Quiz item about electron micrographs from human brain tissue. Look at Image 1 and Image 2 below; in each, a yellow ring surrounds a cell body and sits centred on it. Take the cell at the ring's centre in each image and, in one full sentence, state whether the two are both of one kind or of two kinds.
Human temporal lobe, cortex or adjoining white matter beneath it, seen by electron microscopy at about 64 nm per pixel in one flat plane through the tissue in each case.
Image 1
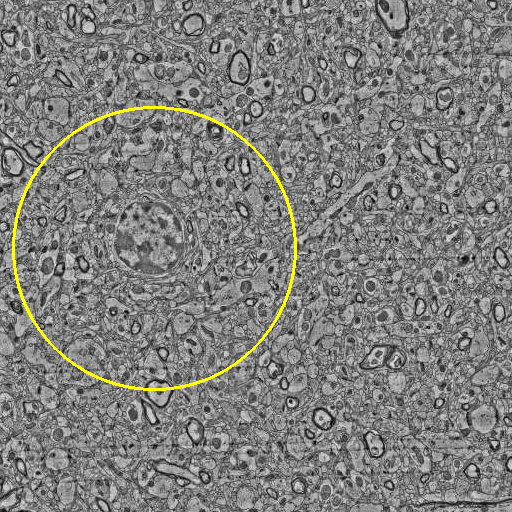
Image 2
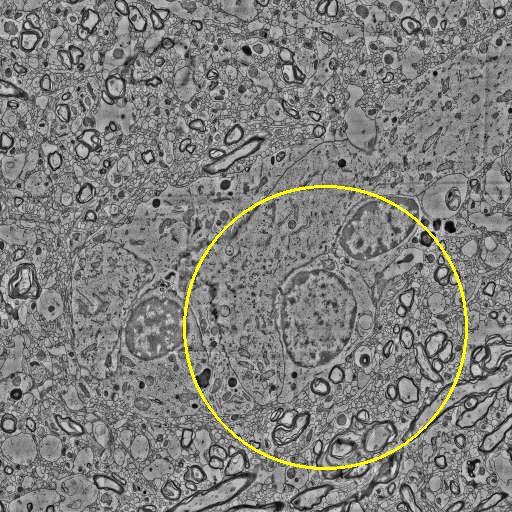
In Image 1 and Image 2, the cells at the ring centres are both of one kind.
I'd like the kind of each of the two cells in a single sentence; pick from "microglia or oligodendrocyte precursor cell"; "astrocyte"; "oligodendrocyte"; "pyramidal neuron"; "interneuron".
The ring centre holds a microglial cell or oligodendrocyte precursor cell in each of the two pictures.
